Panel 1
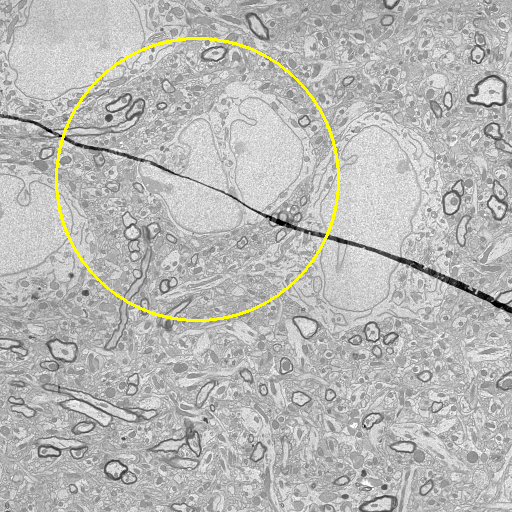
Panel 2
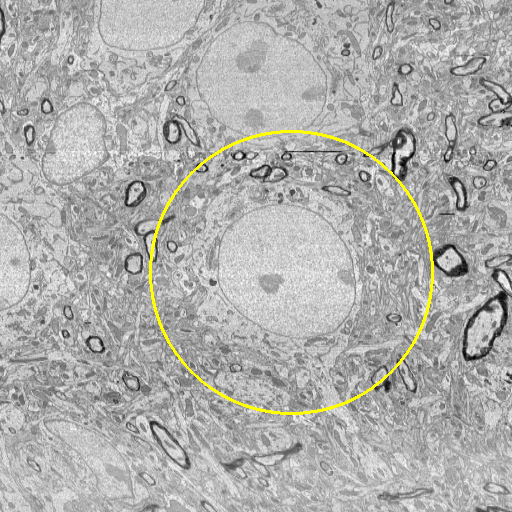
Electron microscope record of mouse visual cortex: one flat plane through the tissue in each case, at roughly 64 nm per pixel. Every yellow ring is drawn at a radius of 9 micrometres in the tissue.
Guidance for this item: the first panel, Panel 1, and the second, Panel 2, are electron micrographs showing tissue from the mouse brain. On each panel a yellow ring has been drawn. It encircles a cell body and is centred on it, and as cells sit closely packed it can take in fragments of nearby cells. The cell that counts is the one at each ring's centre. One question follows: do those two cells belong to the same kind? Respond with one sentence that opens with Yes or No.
No, the cells at the ring centres in Panel 1 and Panel 2 are of two kinds.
